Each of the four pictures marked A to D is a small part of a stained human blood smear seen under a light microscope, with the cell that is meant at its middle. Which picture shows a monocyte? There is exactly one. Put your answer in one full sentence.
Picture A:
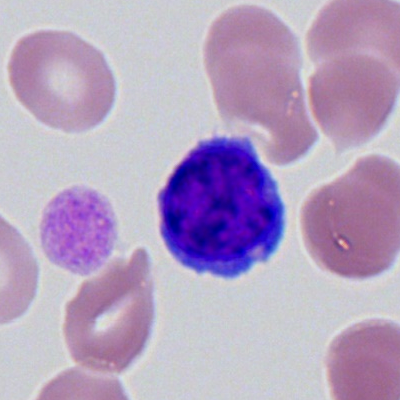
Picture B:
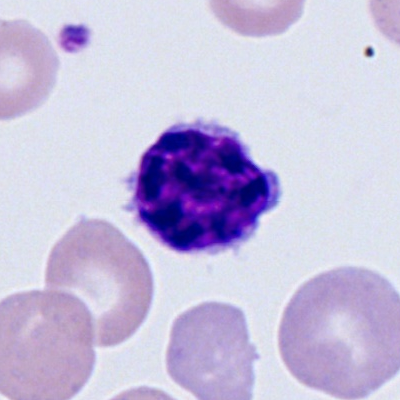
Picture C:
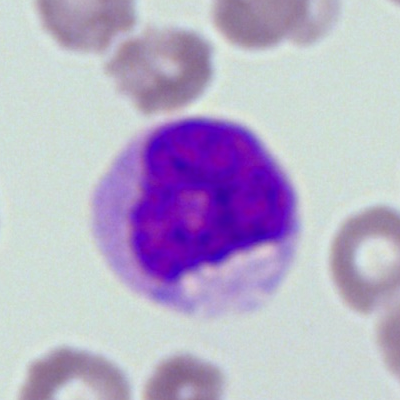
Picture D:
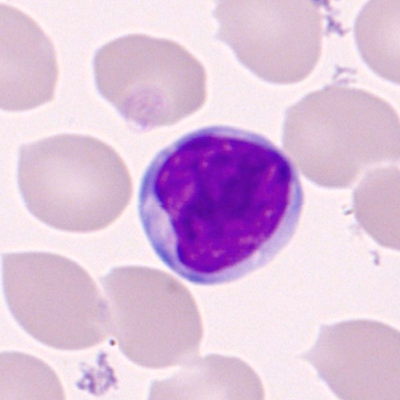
The monocyte is the one in picture C.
